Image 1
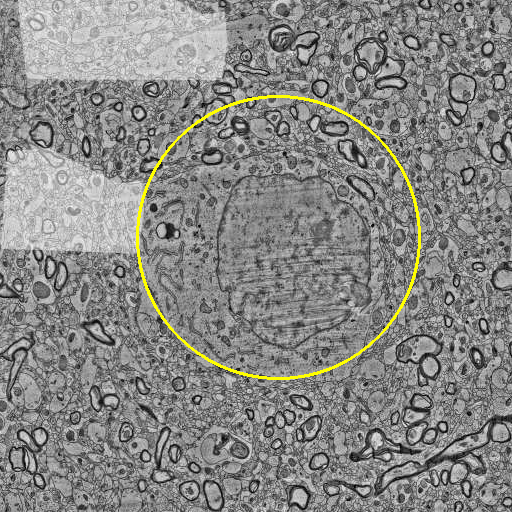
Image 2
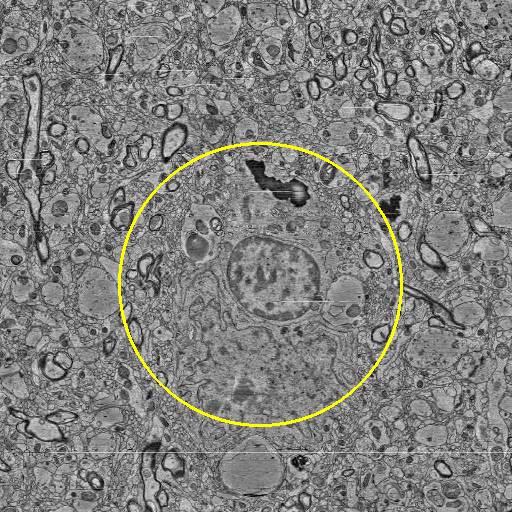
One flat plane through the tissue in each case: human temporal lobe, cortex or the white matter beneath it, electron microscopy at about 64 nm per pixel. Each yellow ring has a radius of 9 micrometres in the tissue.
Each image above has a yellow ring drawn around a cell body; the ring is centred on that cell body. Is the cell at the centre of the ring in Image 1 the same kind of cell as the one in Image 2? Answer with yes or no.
no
